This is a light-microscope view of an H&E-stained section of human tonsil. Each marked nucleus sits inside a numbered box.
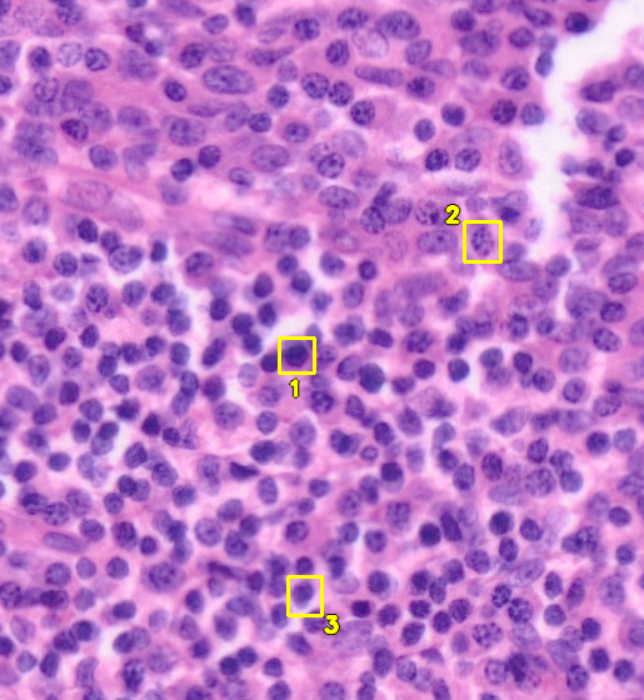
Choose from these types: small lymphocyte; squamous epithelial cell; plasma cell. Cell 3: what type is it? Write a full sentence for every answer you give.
Corresponding to a small lymphocyte is the cell labelled 3.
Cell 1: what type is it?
In the tissue shown, cell 1 is a plasma cell.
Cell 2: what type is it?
The cell that is numbered 2 is a plasma cell.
